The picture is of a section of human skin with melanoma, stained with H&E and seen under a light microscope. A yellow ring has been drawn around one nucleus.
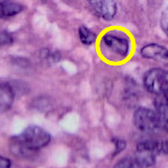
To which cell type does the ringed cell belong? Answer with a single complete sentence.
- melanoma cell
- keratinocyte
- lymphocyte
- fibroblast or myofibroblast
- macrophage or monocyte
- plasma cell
As for its identity, the ringed cell is a macrophage or monocyte.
